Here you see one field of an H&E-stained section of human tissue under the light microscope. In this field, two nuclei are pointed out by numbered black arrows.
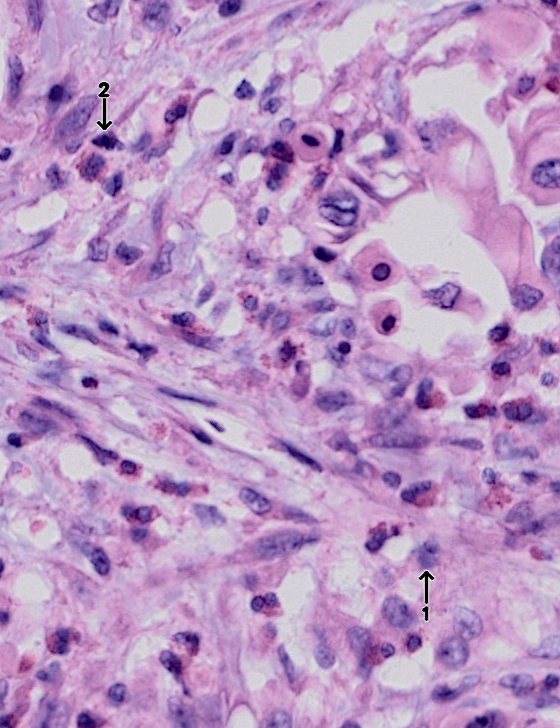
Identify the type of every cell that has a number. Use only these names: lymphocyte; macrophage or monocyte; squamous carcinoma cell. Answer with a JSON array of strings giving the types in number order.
["macrophage or monocyte", "lymphocyte"]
